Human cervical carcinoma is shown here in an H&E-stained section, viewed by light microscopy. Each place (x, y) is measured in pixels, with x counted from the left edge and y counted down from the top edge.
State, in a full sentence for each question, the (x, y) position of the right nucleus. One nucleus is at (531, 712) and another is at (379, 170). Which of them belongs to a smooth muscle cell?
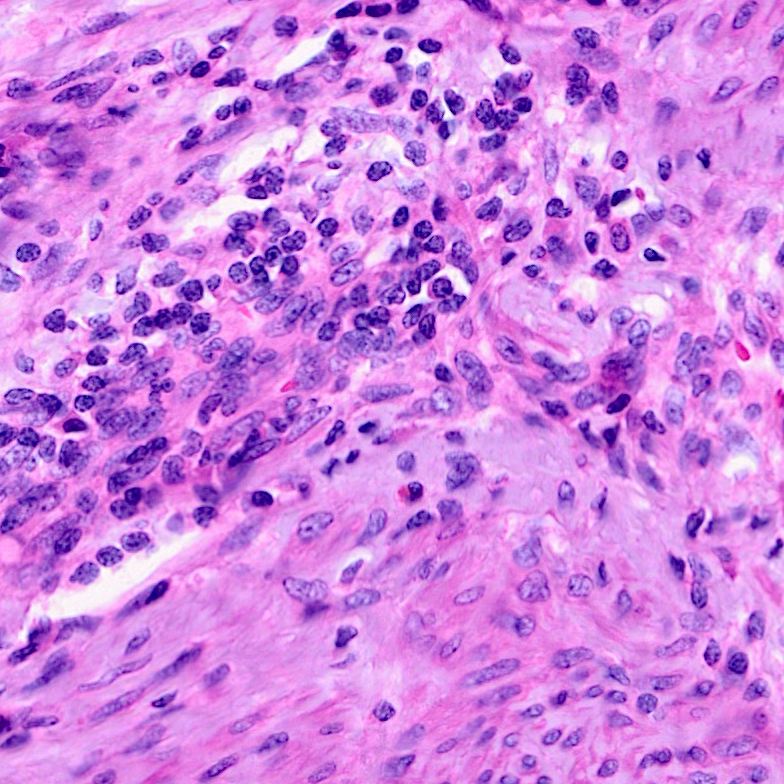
The nucleus at (531, 712) is attributed to a smooth muscle cell, unlike the other nucleus.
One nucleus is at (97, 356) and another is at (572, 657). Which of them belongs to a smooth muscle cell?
It is at (572, 657) that the nucleus of a smooth muscle cell is found.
